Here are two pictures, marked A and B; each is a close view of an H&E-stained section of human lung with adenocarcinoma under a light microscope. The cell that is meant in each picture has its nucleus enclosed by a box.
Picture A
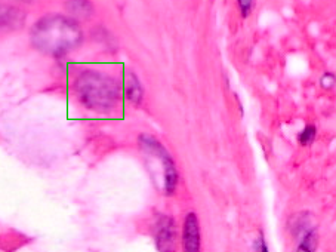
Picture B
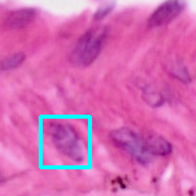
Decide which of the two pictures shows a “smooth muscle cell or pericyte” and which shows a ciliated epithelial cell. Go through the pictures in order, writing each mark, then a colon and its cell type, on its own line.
A: ciliated epithelial cell
B: smooth muscle cell or pericyte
